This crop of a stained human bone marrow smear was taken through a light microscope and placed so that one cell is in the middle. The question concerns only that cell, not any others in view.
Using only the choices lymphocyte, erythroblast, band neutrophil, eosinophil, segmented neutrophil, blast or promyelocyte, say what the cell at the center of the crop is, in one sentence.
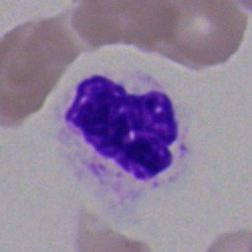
Here the cell in the middle is a segmented neutrophil.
